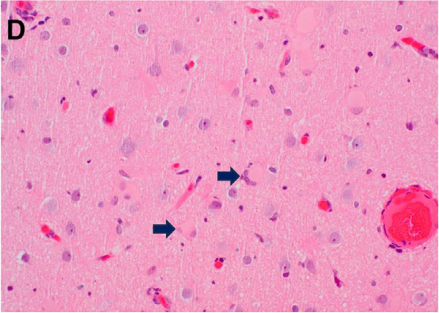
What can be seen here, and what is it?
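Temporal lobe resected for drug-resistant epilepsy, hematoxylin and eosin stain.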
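This cortical tissue shows large cells with plentiful pale pink cytoplasm scattered irregularly among small dark glial nuclei in a pink fibrillary background. A thick-walled vessel with red blood cells sits at one edge.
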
